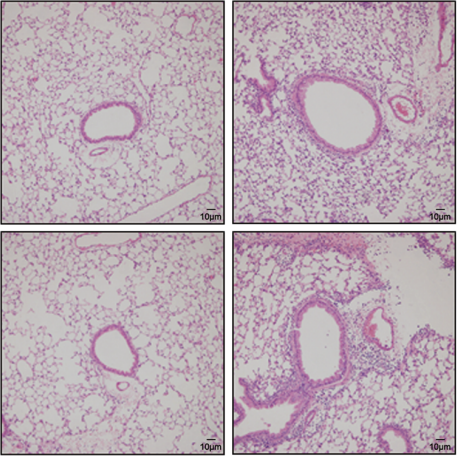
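Four views of lung tissue in pink and purple show thin-walled alveolar spaces surrounding round airways, each lined by a continuous epithelium, with small blood vessels lying beside them. In the two left views the tissue around the airways and vessels is thin and sparsely nucleated. In the two right views dense collections of small, dark purple nuclei gather around the airways and vessels, and the surrounding alveolar walls look thicker.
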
